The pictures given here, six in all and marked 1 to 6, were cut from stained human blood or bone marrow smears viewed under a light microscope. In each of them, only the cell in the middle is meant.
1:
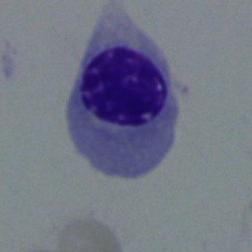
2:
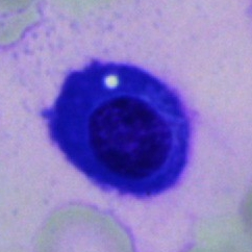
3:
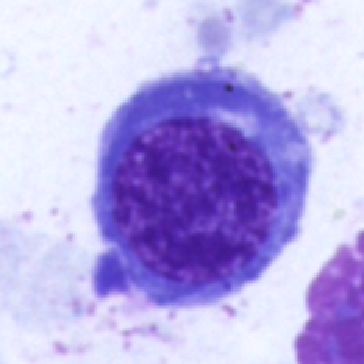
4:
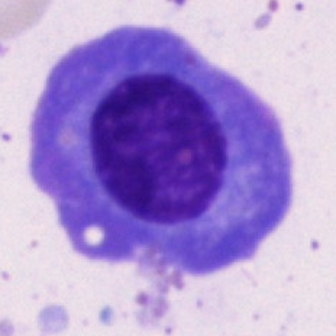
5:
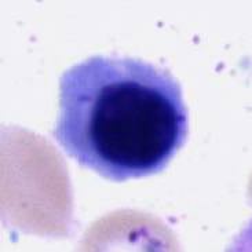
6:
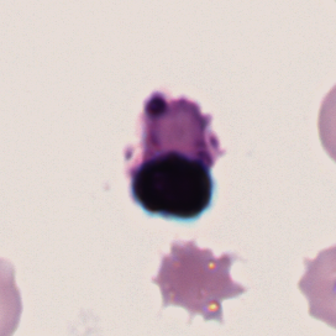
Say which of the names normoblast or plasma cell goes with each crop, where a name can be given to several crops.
1: normoblast
2: plasma cell
3: normoblast
4: plasma cell
5: normoblast
6: normoblast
